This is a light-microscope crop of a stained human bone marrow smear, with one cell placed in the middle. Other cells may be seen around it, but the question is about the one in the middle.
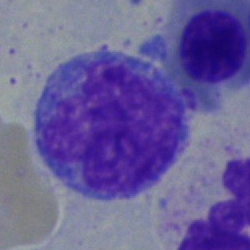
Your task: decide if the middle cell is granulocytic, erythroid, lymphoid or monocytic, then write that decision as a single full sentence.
In this crop, the central cell belongs to the monocytic lineage.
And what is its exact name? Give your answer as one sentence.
The cell in the middle of the field of view is a monocyte.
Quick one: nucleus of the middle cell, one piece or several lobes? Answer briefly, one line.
A single compact nucleus, round, oval or kidney-shaped, is what this cell shows.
